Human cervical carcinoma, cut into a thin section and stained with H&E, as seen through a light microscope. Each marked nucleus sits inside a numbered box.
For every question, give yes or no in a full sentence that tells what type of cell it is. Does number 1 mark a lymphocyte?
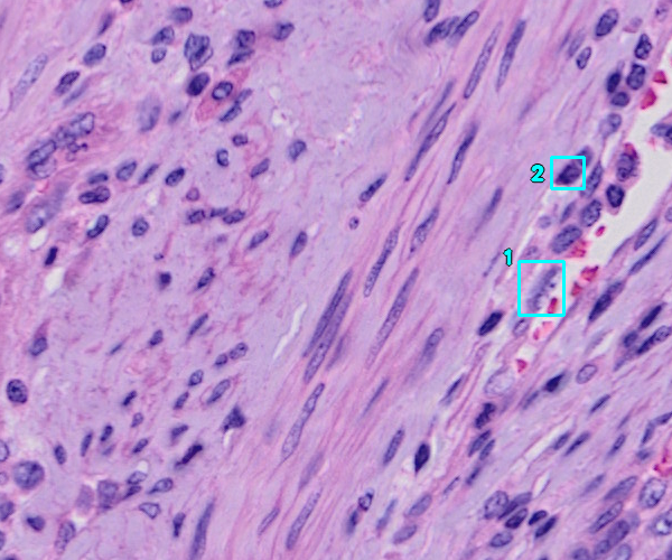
No, the cell numbered 1 is an endothelial cell rather than a lymphocyte.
